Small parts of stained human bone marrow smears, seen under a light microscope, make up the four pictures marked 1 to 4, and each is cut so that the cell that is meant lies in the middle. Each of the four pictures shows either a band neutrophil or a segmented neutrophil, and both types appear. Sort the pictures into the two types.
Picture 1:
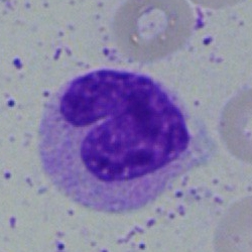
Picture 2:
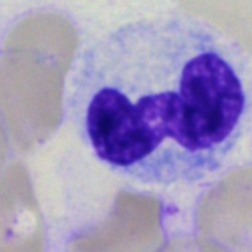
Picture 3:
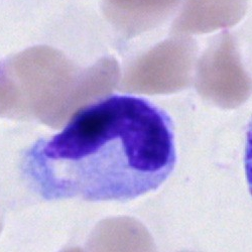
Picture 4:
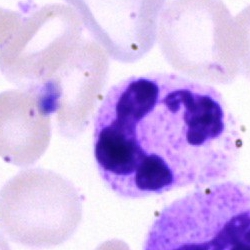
1: band neutrophil
2: band neutrophil
3: band neutrophil
4: segmented neutrophil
